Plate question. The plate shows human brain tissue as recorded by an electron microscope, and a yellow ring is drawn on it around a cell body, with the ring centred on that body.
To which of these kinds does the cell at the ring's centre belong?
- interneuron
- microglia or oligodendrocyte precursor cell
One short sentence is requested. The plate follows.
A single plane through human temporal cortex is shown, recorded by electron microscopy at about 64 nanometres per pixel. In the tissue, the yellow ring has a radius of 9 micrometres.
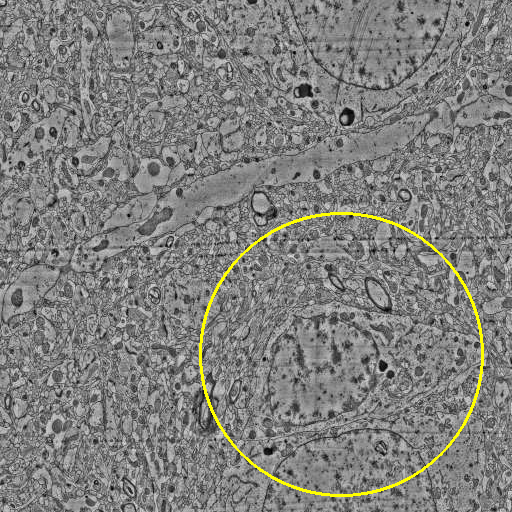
The cell at the ring's centre is an interneuron.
